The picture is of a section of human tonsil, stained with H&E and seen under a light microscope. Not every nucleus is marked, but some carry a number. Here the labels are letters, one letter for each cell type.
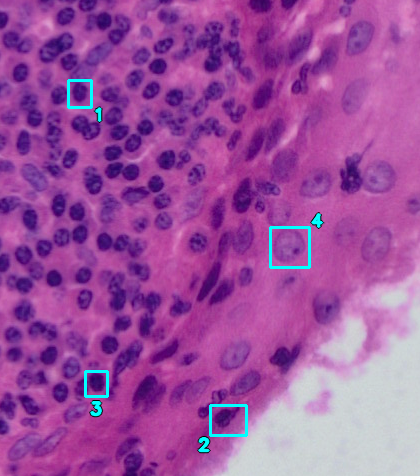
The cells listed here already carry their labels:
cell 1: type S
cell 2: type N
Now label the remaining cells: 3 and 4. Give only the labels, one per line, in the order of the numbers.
type S
type N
